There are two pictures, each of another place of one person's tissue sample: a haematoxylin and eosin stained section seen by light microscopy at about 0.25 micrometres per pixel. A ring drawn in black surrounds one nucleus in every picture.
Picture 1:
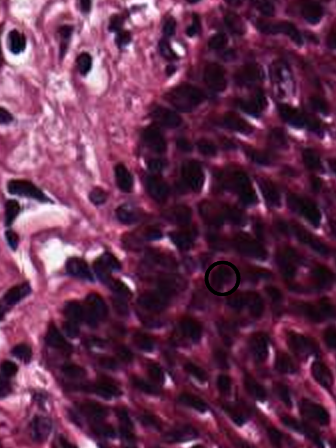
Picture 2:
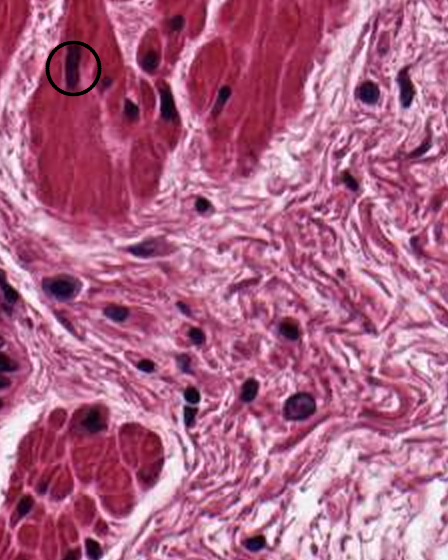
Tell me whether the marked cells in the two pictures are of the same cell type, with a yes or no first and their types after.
No, the first is a squamous epithelial cell and the second a smooth muscle cell.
